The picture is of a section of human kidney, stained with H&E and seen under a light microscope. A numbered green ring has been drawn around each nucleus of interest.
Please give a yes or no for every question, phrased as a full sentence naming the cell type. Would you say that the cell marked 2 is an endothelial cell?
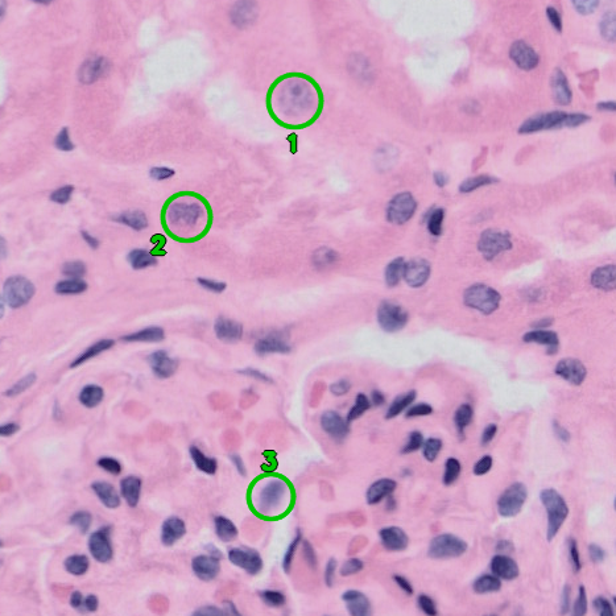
No, the cell given number 2 is a proximal tubule cell, as opposed to an endothelial cell.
